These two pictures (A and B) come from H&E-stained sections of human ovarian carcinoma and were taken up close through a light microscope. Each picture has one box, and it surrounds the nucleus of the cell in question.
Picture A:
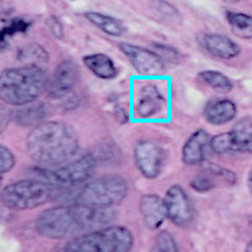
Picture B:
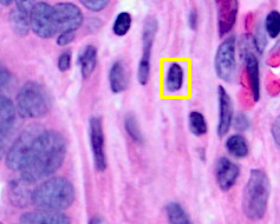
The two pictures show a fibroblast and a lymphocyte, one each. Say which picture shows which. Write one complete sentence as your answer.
It is picture A that shows a fibroblast, and picture B that shows a lymphocyte.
